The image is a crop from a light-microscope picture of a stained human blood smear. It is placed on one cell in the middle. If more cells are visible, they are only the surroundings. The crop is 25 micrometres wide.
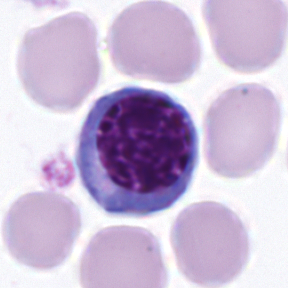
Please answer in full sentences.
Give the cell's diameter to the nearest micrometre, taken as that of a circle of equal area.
It measures about 11 micrometres across.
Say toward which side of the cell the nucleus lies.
The nucleus is pushed toward the upper right of the cell.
